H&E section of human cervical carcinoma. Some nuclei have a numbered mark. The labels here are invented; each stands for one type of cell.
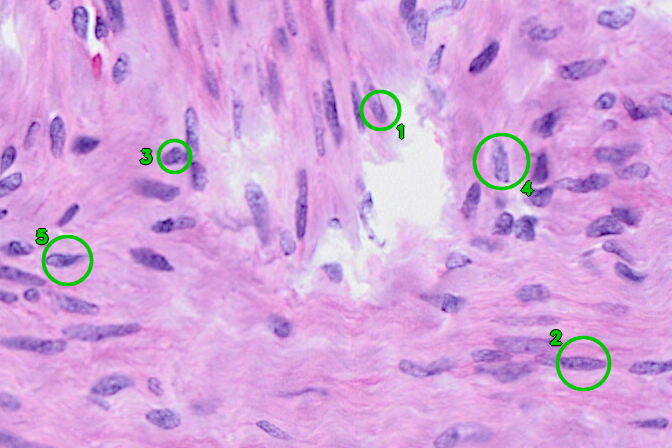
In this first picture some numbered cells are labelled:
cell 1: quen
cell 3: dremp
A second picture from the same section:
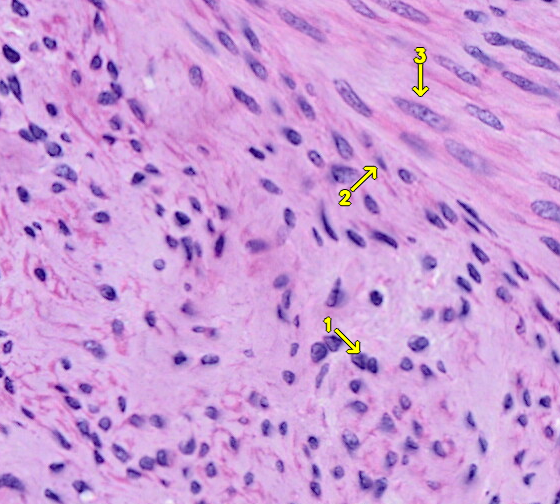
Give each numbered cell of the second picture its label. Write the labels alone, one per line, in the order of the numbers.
dremp
quen
quen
